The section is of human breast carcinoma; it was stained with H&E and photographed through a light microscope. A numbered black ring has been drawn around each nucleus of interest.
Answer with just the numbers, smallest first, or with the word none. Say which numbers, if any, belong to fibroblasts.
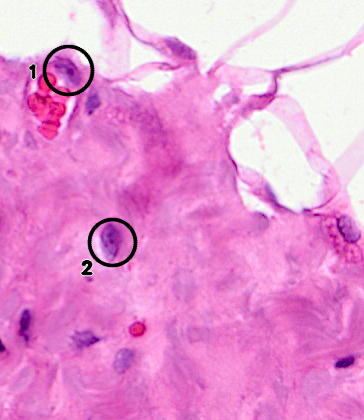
2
